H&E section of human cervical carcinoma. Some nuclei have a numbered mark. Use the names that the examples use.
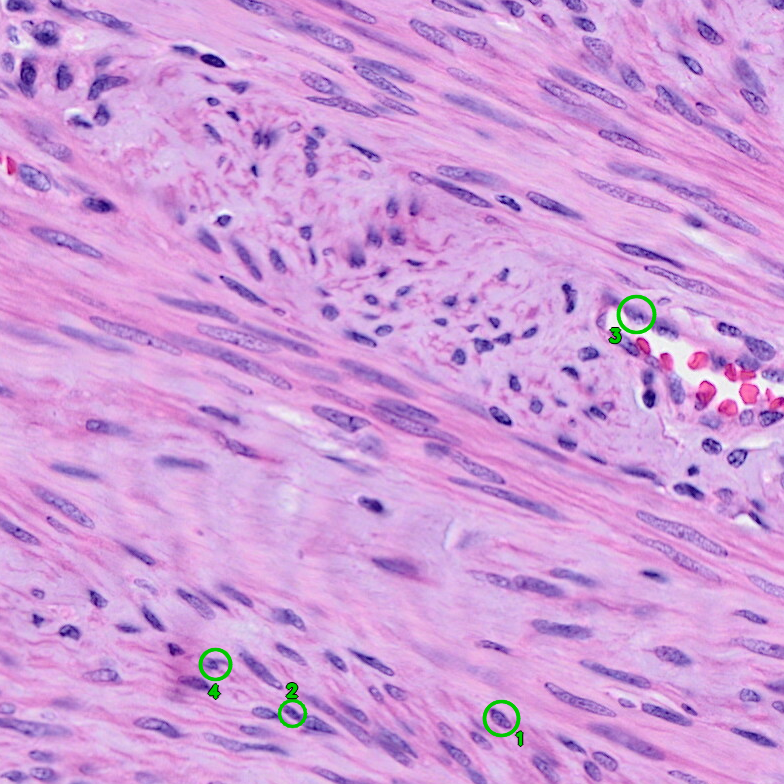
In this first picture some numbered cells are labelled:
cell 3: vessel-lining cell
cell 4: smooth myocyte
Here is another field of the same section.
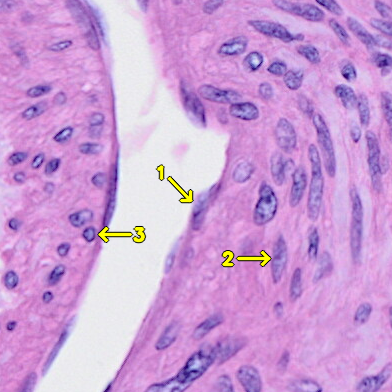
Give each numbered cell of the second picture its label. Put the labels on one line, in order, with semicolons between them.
vessel-lining cell; smooth myocyte; smooth myocyte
